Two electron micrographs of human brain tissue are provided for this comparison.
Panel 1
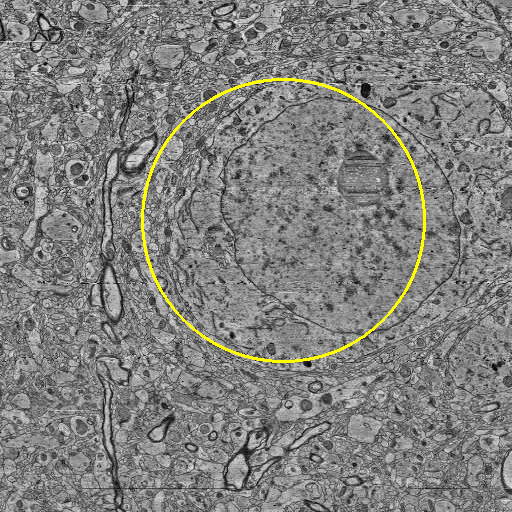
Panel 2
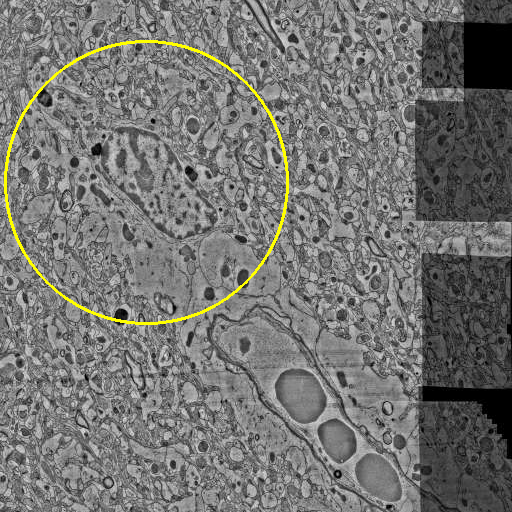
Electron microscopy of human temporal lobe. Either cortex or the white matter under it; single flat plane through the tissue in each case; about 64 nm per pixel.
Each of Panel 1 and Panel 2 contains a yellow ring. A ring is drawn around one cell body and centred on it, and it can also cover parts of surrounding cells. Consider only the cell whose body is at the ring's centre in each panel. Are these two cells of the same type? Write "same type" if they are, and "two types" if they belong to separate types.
two types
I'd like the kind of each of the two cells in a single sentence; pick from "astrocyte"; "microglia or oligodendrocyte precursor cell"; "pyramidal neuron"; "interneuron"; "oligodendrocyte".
The first ring marks a pyramidal neuron, and the second ring marks a microglial cell or oligodendrocyte precursor cell.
